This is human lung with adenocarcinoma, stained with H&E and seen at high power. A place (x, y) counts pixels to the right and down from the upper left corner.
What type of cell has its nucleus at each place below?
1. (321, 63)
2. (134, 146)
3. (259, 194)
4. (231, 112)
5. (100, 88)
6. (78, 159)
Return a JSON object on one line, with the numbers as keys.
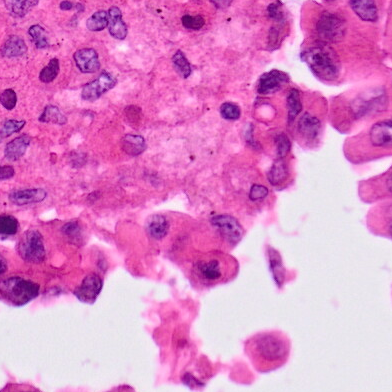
{"1": "carcinoma cell", "2": "macrophage or monocyte", "3": "macrophage or monocyte", "4": "lymphocyte", "5": "macrophage or monocyte", "6": "macrophage or monocyte"}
